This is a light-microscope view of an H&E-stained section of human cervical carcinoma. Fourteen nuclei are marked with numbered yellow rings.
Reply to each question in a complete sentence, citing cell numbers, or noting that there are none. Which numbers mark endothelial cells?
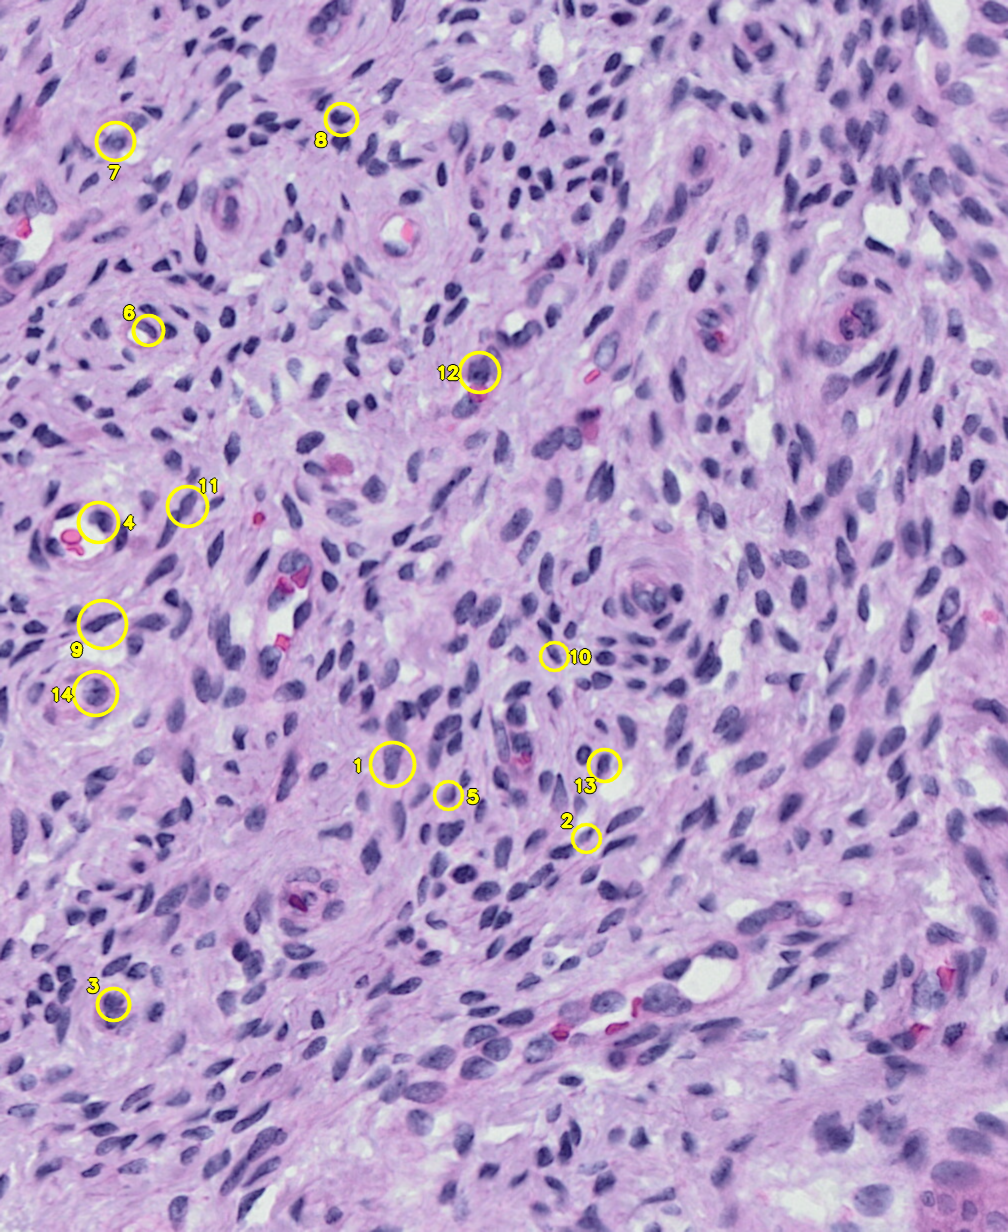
Within this tissue, the cells numbered 3, 4, 6, 7, 12 and 14 are endothelial cells.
